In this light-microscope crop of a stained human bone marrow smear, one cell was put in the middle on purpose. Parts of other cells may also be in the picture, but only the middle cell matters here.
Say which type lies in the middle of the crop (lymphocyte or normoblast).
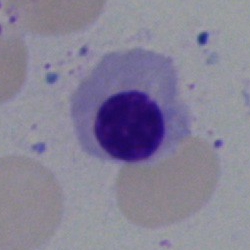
normoblast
